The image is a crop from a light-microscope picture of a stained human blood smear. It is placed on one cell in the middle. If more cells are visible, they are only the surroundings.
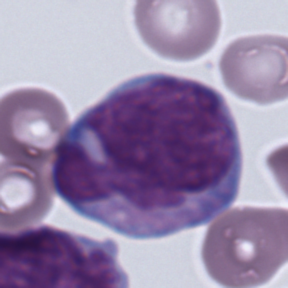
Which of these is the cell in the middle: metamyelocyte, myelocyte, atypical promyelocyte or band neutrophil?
atypical promyelocyte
